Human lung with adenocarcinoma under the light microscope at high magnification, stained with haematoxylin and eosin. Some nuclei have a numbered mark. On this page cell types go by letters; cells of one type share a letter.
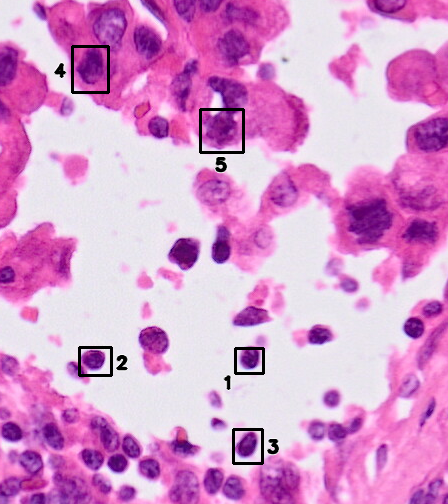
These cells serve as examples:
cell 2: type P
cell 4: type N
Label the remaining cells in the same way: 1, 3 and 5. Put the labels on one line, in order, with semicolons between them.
type P; type P; type N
